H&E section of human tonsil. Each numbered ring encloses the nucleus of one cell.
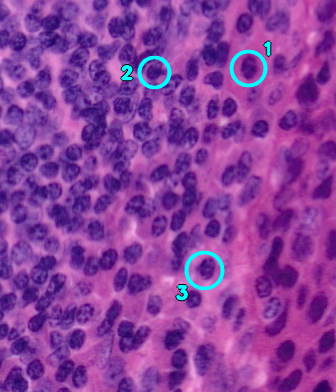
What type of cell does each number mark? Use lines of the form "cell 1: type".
cell 1: plasma cell
cell 2: small lymphocyte
cell 3: plasma cell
